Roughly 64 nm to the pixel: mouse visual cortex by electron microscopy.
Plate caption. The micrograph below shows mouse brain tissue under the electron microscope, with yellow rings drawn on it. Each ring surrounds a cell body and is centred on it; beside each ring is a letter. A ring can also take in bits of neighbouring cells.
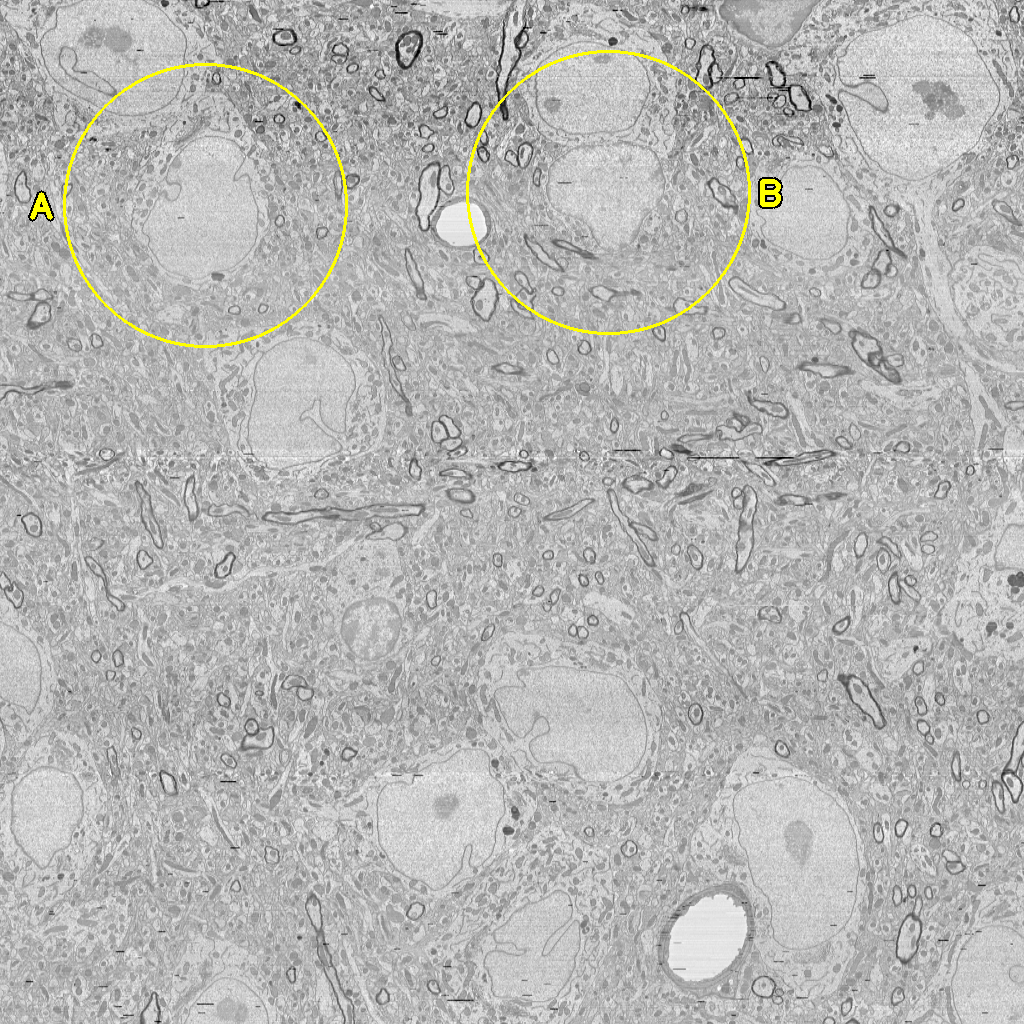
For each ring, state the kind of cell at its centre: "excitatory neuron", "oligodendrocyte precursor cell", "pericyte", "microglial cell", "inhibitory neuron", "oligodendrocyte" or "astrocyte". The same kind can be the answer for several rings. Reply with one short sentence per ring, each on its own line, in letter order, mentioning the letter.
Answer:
Ring A is drawn around an excitatory neuron.
Ring B is drawn around an astrocyte.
